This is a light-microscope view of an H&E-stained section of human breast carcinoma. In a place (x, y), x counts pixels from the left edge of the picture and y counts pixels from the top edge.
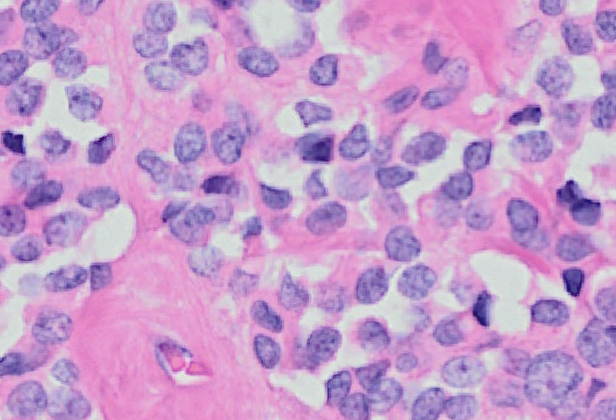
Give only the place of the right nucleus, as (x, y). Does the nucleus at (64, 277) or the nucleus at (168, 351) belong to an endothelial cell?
(168, 351)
